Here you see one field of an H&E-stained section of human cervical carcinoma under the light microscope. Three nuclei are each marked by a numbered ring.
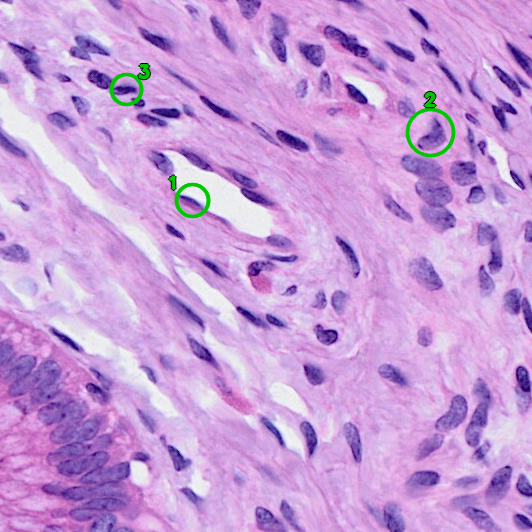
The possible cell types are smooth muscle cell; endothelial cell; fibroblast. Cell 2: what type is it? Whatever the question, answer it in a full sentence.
Cell 2 in the field is a fibroblast.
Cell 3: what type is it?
Here the cell numbered 3 is a fibroblast.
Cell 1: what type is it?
The numbered cell 1 is identified here as an endothelial cell.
